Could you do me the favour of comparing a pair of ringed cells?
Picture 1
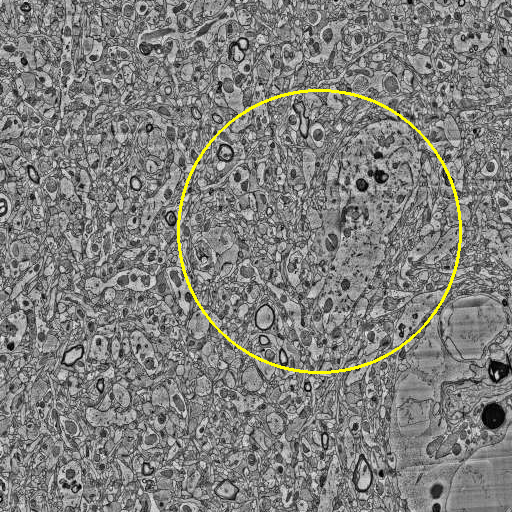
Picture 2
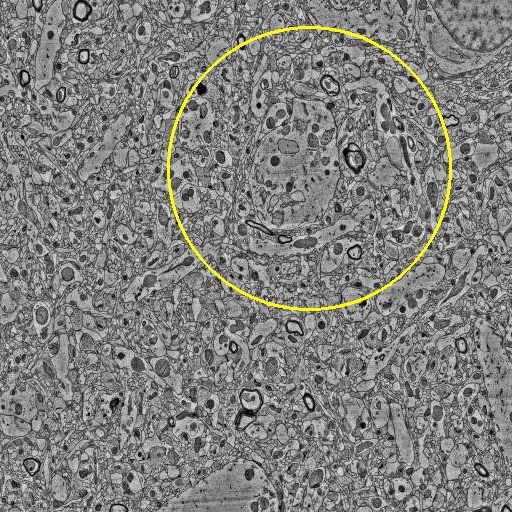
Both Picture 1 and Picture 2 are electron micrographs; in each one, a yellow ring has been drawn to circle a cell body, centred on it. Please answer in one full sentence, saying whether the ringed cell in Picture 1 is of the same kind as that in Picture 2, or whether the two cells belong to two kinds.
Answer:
The ringed cells in Picture 1 and Picture 2 belong to two kinds.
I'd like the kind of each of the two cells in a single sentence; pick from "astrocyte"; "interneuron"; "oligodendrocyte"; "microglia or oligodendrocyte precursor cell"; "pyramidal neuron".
The first ring marks an oligodendrocyte, and the second ring marks an interneuron.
